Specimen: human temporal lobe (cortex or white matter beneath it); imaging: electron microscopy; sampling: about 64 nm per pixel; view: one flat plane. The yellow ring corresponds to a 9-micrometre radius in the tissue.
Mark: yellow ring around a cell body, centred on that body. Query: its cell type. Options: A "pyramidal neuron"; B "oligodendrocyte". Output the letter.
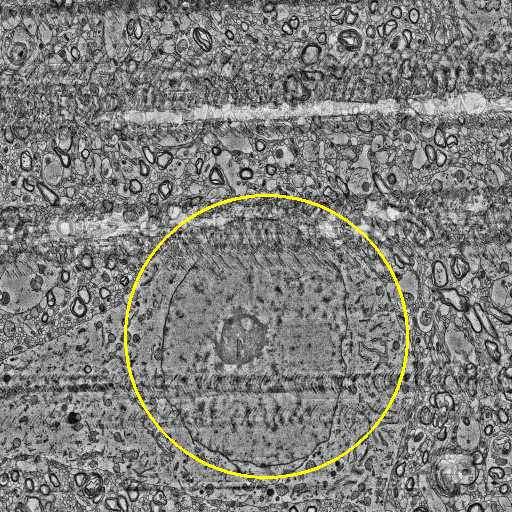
A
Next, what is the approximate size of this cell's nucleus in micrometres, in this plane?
Approximately 16 x 13 micrometres in this plane.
